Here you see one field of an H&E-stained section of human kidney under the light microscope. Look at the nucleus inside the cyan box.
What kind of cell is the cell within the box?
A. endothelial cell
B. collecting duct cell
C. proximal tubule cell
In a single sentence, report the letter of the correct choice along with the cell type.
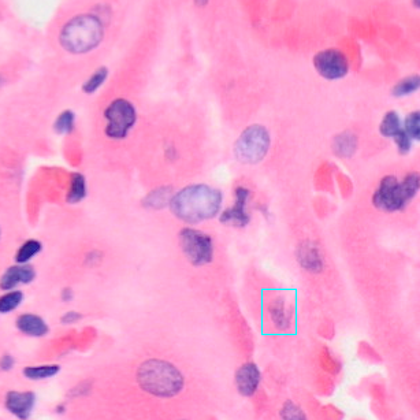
As stated in option C, the cell within the box is a proximal tubule cell.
